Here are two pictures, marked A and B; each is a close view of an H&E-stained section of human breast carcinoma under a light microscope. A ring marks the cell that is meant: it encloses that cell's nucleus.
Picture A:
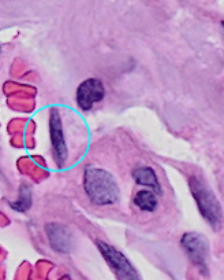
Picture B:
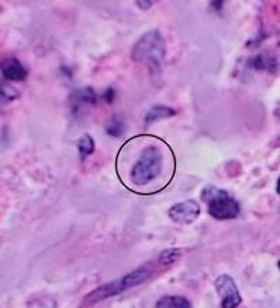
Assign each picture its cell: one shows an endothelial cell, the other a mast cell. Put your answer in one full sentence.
In picture A the cell is an endothelial cell; in picture B, a mast cell.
